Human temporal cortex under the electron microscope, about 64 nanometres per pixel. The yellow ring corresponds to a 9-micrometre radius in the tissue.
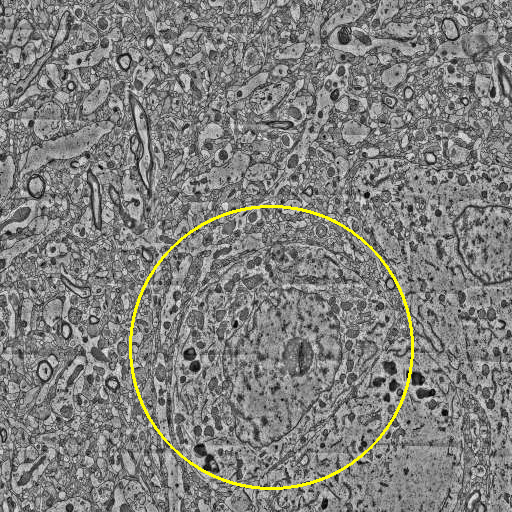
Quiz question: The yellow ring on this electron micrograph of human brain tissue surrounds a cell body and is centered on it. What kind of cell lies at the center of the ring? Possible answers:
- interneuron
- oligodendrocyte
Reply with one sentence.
The ring's center lies on an interneuron.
